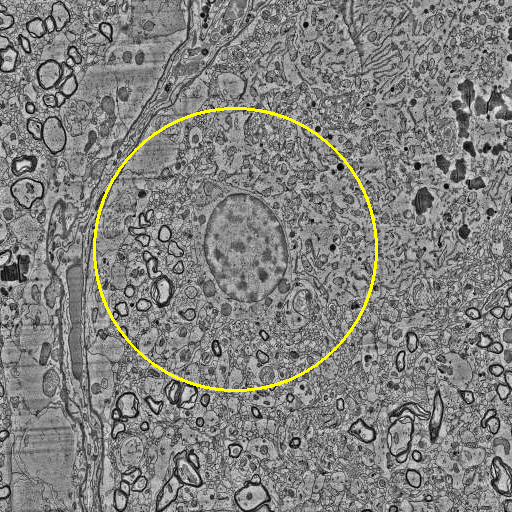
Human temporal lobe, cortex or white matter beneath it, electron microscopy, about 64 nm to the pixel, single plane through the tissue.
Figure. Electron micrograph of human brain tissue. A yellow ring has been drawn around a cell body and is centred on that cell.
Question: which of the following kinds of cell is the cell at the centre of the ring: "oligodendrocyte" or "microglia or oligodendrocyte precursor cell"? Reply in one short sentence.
The cell at the centre of the ring is an oligodendrocyte.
